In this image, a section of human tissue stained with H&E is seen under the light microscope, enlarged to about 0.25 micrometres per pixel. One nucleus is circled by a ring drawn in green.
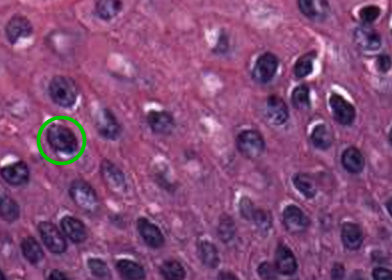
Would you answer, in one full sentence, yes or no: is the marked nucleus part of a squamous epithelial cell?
Yes, it is a squamous epithelial cell to which the marked nucleus belongs.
